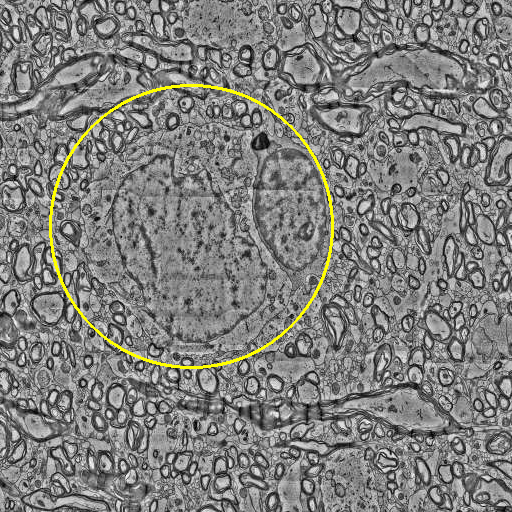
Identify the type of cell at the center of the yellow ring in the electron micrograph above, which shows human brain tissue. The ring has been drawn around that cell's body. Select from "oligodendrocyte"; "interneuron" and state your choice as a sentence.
The yellow ring is centered on the body of an interneuron.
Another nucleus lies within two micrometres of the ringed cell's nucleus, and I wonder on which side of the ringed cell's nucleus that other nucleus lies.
That other nucleus sits to the right of it.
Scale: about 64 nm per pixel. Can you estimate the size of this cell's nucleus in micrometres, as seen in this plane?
Roughly 12 by 9 micrometres in this plane, for the nucleus of the ringed cell.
